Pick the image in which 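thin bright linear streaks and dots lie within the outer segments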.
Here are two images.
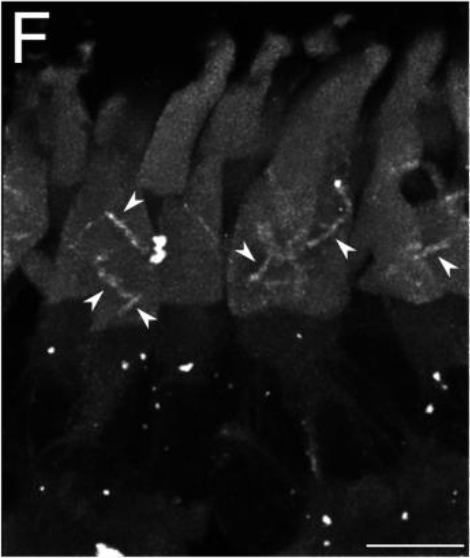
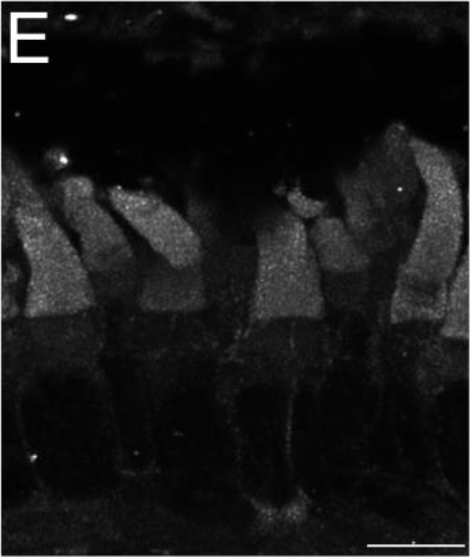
the first image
